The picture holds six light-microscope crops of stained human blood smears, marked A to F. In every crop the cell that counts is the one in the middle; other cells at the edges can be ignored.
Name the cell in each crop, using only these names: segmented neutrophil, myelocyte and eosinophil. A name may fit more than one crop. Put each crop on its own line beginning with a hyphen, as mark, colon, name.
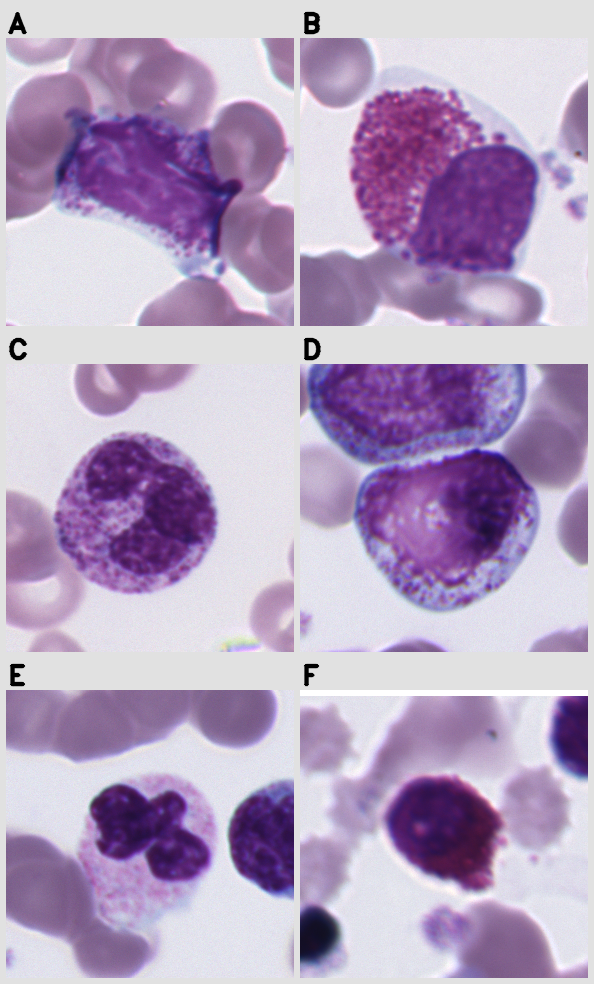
- A: myelocyte
- B: eosinophil
- C: eosinophil
- D: myelocyte
- E: segmented neutrophil
- F: eosinophil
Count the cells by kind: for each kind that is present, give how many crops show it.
eosinophil: 3
myelocyte: 2
segmented neutrophil: 1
